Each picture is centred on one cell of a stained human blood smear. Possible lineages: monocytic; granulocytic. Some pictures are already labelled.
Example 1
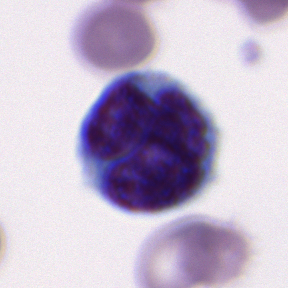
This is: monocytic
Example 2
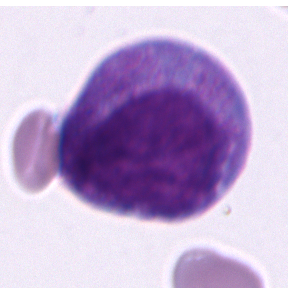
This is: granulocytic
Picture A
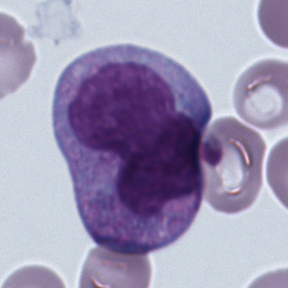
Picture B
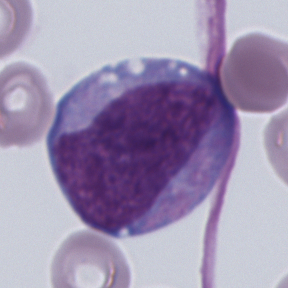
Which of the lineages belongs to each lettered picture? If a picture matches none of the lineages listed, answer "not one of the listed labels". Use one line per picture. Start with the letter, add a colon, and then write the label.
A: granulocytic
B: granulocytic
